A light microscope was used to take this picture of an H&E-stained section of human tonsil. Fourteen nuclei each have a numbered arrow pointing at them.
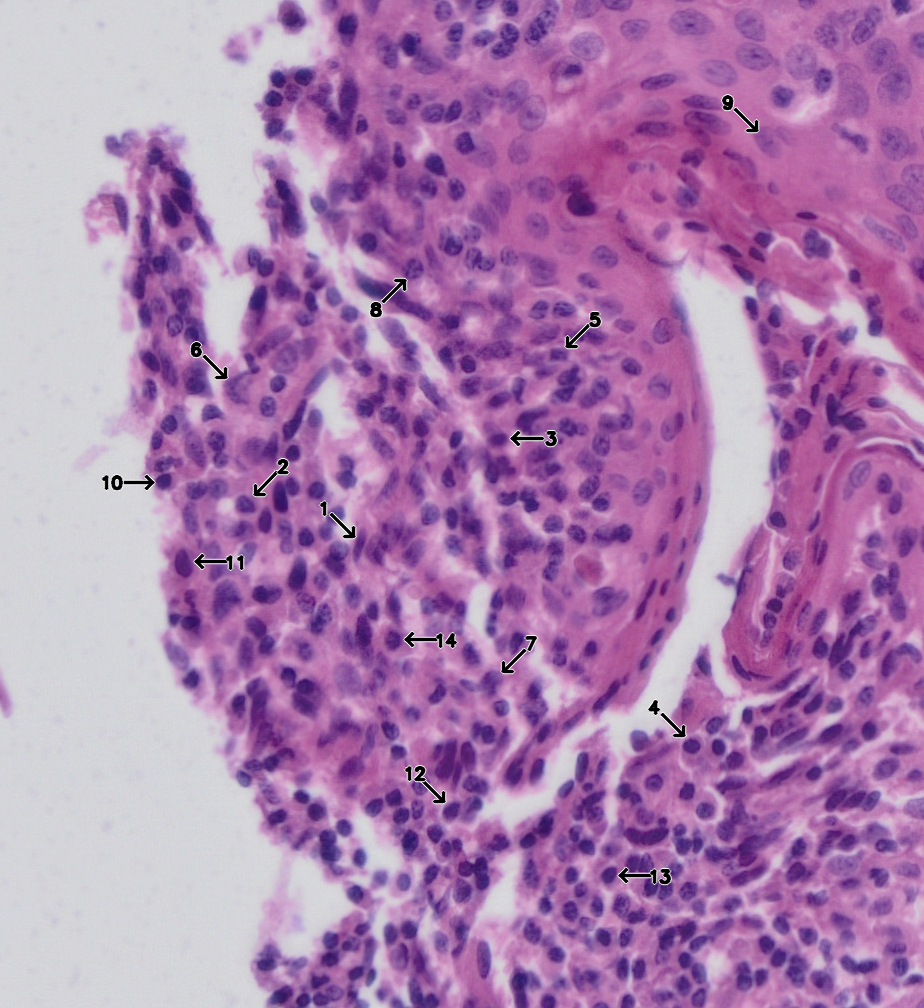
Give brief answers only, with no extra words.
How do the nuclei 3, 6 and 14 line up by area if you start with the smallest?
3, 14, 6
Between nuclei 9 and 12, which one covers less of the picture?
12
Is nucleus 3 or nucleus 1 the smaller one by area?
3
